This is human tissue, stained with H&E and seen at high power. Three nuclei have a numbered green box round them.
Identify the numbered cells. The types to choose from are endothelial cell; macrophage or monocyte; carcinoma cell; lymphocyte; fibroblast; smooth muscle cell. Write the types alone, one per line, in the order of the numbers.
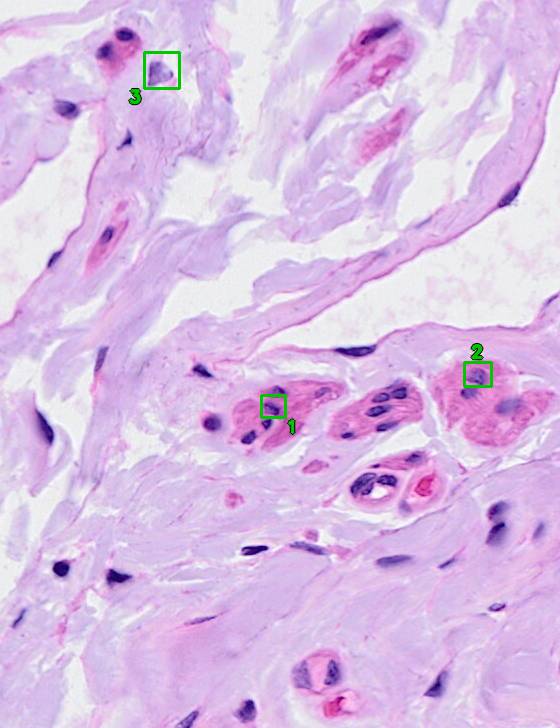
smooth muscle cell
smooth muscle cell
fibroblast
